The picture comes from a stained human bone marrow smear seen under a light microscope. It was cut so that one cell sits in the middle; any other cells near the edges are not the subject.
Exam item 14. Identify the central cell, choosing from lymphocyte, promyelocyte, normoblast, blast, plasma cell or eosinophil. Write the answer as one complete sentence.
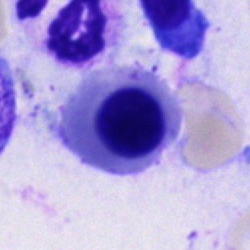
Within this crop, a normoblast occupies the central position.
